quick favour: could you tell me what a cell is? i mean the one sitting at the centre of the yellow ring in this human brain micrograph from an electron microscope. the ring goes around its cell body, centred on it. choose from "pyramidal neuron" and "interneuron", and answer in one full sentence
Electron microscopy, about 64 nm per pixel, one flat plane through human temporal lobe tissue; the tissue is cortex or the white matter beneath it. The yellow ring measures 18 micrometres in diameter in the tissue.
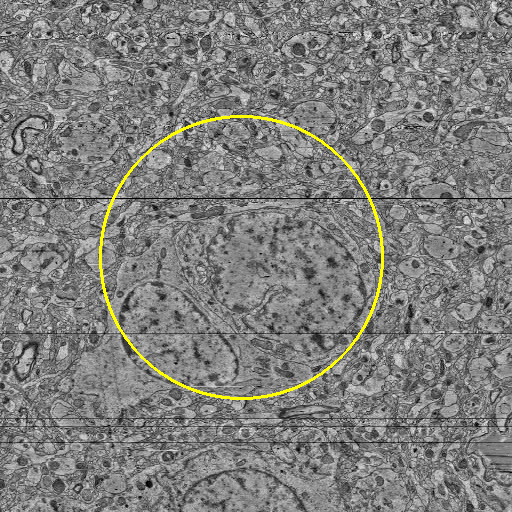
That's an interneuron, the cell sitting at the centre of the yellow ring.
